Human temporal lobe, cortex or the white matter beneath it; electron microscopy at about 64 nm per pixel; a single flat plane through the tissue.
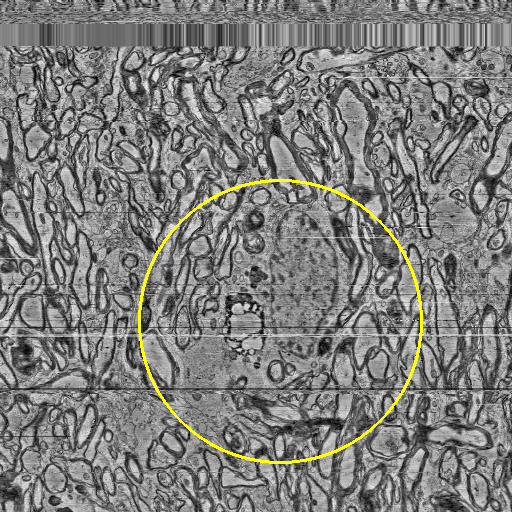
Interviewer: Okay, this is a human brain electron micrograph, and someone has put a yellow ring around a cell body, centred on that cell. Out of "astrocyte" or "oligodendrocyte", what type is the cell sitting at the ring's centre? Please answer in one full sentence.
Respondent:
The cell at the centre of the yellow ring in this picture is an astrocyte.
